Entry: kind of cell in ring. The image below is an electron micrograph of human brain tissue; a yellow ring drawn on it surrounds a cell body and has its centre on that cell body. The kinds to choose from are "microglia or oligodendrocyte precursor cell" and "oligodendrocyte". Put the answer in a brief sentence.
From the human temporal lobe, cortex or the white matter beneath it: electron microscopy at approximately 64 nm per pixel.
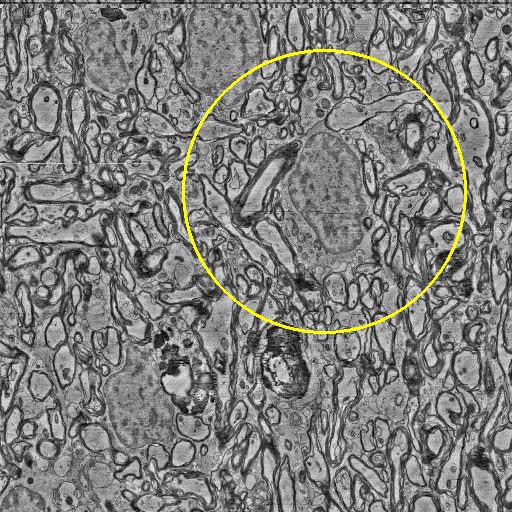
The ring has been drawn around an oligodendrocyte.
